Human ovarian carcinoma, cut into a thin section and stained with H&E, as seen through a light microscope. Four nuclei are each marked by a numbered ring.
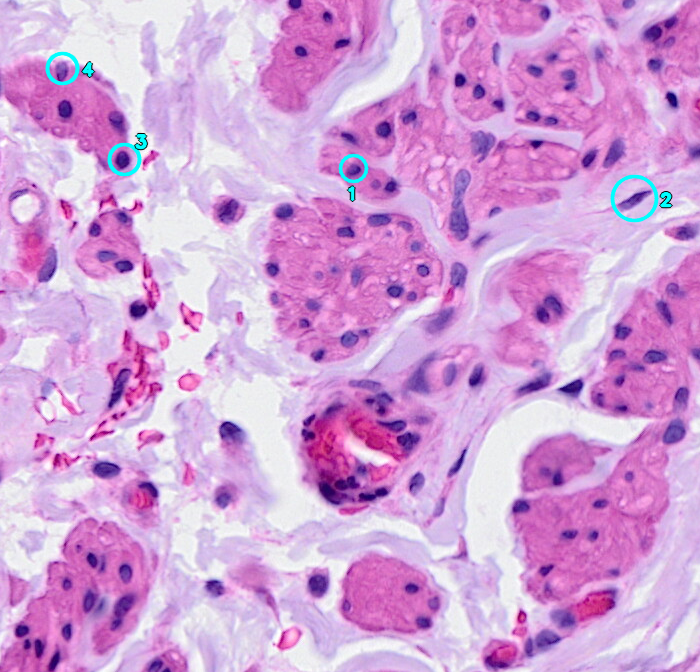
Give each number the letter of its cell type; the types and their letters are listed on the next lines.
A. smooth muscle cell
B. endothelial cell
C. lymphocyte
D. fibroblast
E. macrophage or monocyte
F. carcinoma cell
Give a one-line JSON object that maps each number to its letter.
{"1": "A", "2": "D", "3": "A", "4": "A"}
